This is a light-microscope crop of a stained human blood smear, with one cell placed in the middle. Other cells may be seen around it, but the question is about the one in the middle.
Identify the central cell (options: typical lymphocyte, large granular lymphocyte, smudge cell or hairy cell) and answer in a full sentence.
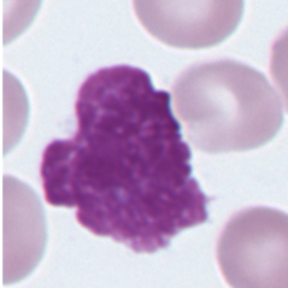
The central cell, amid any neighbouring cells, is a smudge cell.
